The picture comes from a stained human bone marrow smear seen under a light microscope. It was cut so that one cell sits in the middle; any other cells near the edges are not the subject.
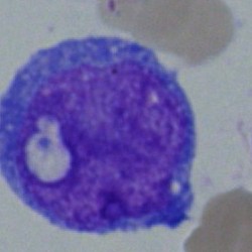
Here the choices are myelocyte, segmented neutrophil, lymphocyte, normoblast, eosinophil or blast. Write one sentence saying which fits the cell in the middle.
This crop is built around a blast at its centre.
